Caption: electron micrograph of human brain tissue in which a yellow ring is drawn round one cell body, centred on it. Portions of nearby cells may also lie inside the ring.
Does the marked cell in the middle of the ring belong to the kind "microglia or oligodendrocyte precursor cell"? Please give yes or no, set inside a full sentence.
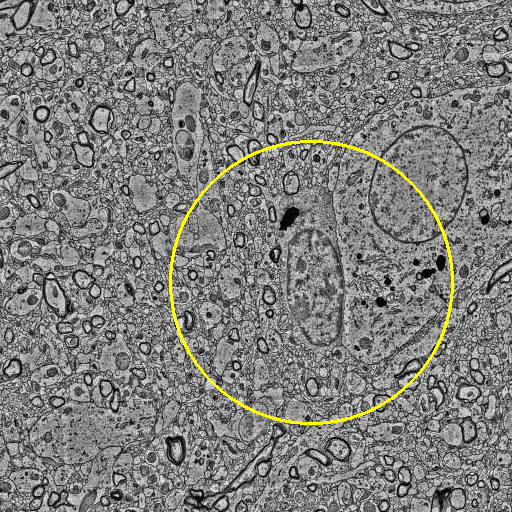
No, the marked cell that the ring is centred on in the picture is of another kind.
